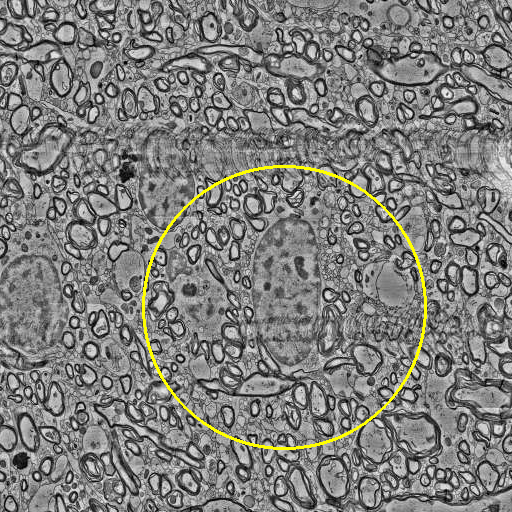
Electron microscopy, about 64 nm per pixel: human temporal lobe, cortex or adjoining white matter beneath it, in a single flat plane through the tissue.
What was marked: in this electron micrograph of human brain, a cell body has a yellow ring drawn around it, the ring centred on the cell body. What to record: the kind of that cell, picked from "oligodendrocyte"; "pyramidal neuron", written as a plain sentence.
The centred cell is an oligodendrocyte.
